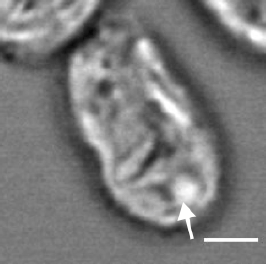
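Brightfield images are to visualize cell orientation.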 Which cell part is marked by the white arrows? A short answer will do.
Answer: Pyrenoid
